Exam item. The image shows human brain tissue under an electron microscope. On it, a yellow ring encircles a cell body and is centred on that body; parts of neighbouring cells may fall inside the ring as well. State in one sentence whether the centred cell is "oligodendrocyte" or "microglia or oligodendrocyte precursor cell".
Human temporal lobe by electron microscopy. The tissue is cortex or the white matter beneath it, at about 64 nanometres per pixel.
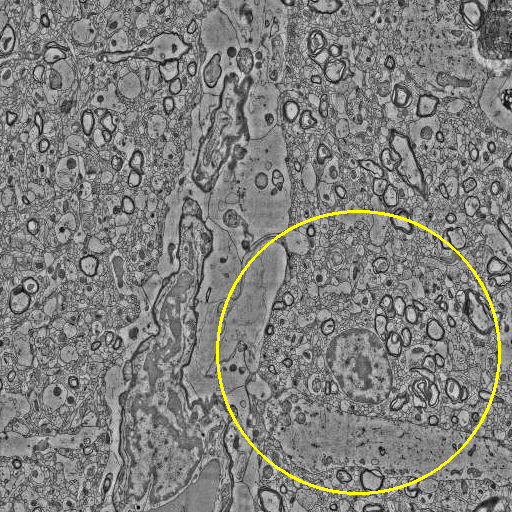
The cell body centred in the ring is a microglial cell or oligodendrocyte precursor cell.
